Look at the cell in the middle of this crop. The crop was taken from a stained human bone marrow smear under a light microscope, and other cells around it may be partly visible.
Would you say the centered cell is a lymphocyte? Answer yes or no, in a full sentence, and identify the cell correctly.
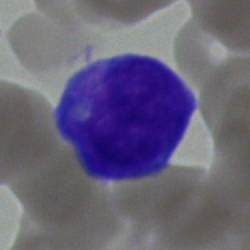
No, the middle cell is classified as a blast instead of a lymphocyte.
